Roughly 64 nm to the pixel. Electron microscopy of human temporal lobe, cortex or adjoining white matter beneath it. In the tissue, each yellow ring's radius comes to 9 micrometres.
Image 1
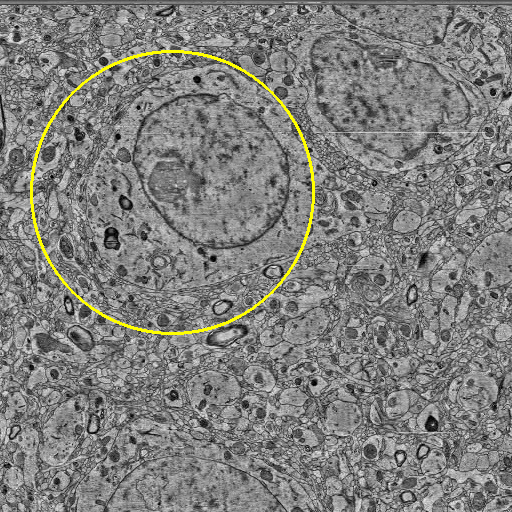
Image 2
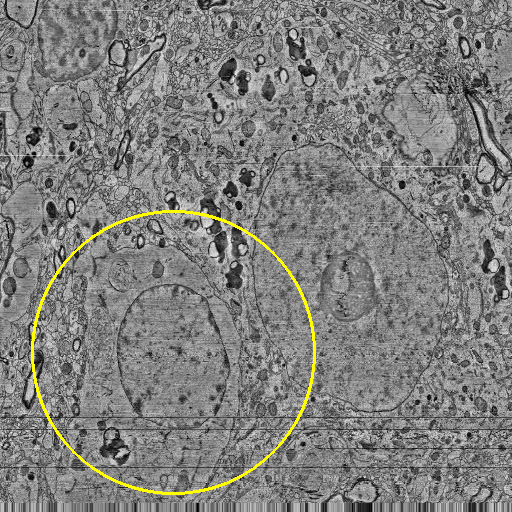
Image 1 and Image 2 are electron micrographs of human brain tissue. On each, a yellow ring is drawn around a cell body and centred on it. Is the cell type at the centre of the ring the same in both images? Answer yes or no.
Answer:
no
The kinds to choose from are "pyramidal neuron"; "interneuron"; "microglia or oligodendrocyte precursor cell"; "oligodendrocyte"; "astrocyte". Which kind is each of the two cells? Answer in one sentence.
Of the two, the first cell is a pyramidal neuron and the second cell is an astrocyte.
